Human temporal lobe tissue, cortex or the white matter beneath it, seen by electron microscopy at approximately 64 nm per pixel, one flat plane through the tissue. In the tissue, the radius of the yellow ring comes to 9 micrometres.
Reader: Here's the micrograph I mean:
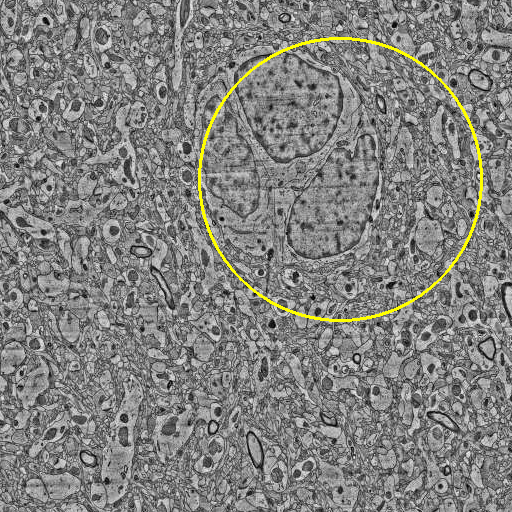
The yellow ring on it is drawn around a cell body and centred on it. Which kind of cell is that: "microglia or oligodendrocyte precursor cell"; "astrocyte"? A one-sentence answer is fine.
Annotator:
The ring is centred on a microglial cell or oligodendrocyte precursor cell.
